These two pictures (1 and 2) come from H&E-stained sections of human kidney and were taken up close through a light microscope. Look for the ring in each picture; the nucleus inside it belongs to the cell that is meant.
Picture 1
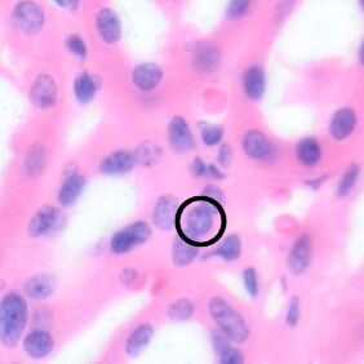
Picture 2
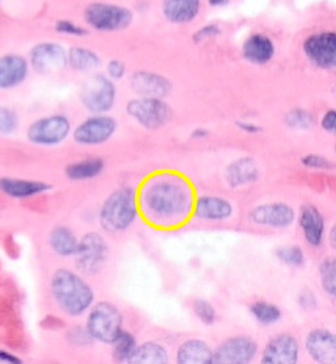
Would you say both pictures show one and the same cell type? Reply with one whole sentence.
Yes, the two pictures both show collecting duct cells.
